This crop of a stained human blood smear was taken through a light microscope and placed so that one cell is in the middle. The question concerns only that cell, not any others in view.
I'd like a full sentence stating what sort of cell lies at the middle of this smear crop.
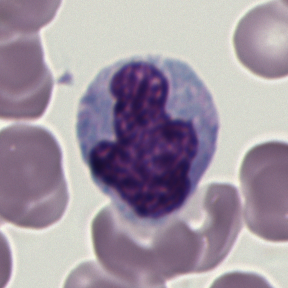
What sits at the centre of this crop is a monocyte.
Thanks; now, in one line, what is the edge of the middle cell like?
Smooth outline, no projections: that is the whole story of its edge.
